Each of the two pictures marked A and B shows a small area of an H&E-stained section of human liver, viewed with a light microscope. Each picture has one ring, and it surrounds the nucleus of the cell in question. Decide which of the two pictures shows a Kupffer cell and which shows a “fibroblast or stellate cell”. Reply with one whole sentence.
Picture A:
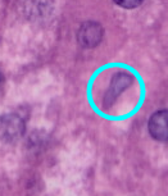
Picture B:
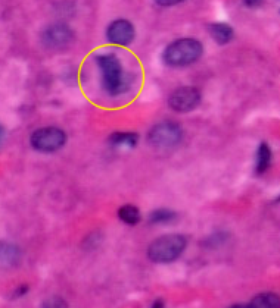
Picture A is of a Kupffer cell, and picture B is of a “fibroblast or stellate cell”.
